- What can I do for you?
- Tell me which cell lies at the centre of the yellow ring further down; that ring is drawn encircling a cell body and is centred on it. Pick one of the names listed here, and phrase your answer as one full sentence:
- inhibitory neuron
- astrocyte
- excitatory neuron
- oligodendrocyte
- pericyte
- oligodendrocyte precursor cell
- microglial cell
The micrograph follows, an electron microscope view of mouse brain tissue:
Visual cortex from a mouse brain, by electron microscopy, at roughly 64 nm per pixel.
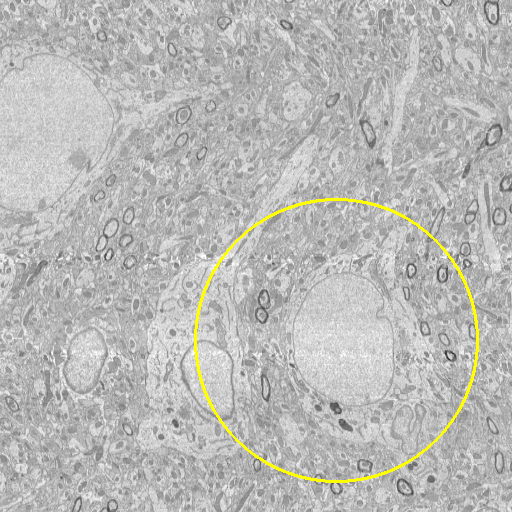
The cell whose body lies at the centre of the yellow ring is an excitatory neuron.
